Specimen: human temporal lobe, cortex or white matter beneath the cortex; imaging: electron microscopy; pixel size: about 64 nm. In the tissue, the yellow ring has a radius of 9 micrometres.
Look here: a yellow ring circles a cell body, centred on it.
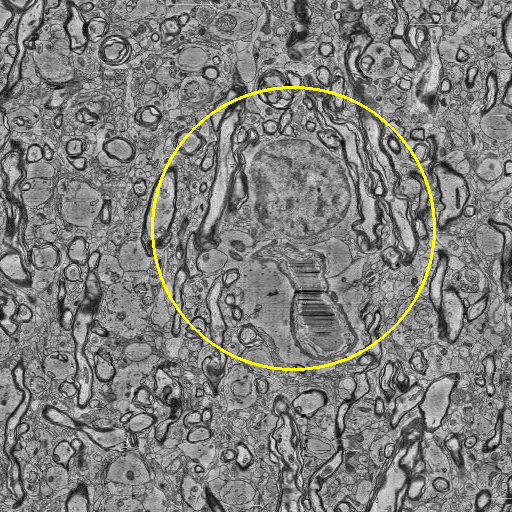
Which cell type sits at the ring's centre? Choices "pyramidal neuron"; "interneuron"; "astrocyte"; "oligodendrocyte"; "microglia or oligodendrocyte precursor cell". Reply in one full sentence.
The cell at the centre of the yellow ring in the picture is an oligodendrocyte.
